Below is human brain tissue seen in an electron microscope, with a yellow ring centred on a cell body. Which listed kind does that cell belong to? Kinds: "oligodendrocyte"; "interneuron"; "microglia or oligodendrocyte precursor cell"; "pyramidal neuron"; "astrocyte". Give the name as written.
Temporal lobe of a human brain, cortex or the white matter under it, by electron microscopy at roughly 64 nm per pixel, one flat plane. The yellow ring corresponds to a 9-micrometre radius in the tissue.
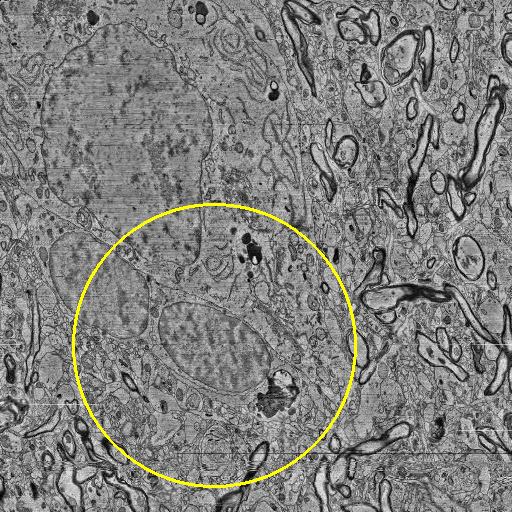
oligodendrocyte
